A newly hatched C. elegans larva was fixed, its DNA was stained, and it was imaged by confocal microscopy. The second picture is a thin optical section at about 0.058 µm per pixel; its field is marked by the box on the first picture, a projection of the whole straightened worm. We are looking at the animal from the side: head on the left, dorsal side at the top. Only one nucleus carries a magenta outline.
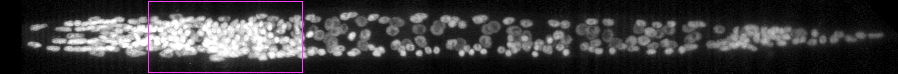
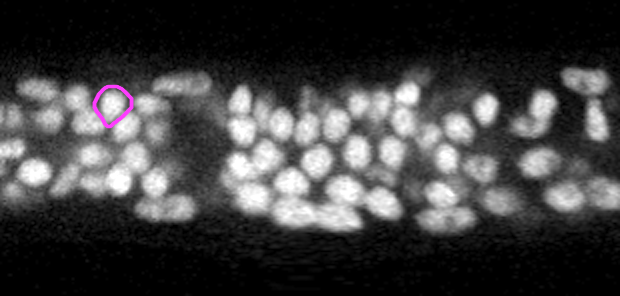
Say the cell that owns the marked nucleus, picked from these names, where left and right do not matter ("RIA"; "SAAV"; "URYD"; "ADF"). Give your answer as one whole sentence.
The nucleus is from URYD, a neuron.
